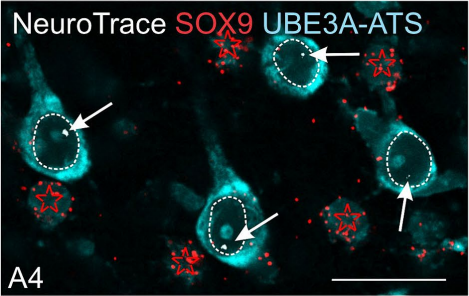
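The neurons have bright cyan cytoplasm, some with a tapering process, and a large round nucleus that is darker and outlined by dotted lines, often with a small nucleolus. Single bright white dots sit inside the neuronal nuclei. Between the neurons lie small round cells, marked by red stars, that stain only faintly cyan and carry clusters of red dots but no white dots.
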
